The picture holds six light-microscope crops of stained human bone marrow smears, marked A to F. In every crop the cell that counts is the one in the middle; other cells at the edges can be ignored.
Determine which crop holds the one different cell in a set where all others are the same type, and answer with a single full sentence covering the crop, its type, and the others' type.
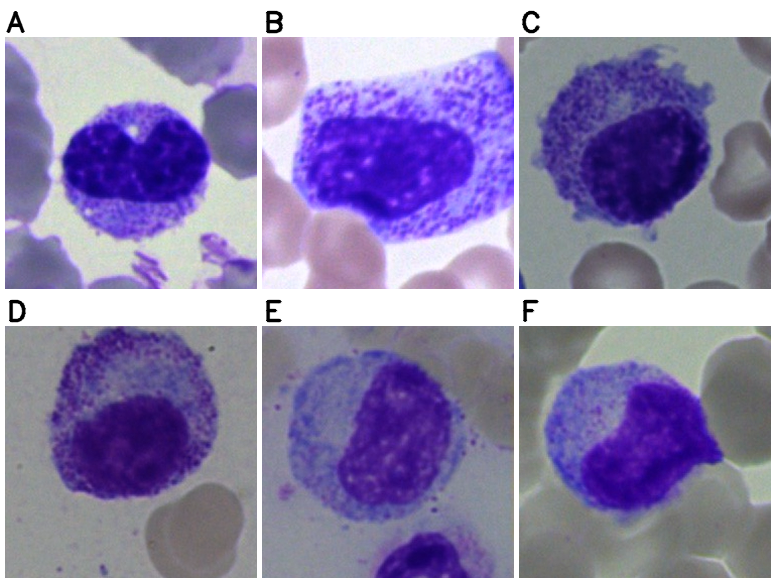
The remaining crops are all myelocytes, so crop A, being a metamyelocyte, is the exception.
